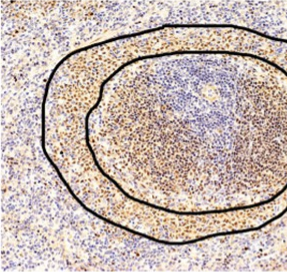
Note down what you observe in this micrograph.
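This is splenic white pulp in which a rounded lymphoid nodule is dominated by small lymphocytes with brown-stained nuclei. The brown cells are packed densely in a wide band that encircles a paler, blue-counterstained central area. A small vessel with a thin wall lies within this central area. Around the nodule the looser surrounding tissue contains scattered brown-stained cells among blue nuclei.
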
